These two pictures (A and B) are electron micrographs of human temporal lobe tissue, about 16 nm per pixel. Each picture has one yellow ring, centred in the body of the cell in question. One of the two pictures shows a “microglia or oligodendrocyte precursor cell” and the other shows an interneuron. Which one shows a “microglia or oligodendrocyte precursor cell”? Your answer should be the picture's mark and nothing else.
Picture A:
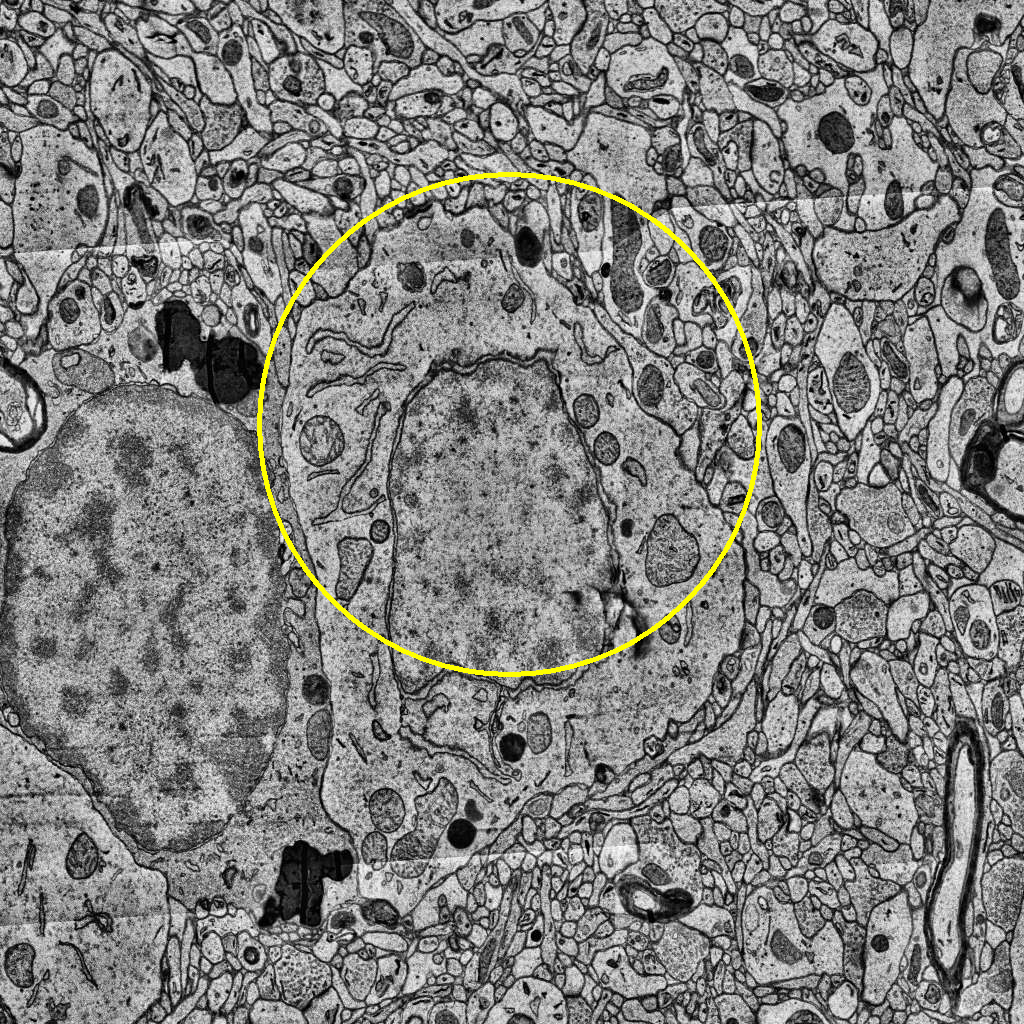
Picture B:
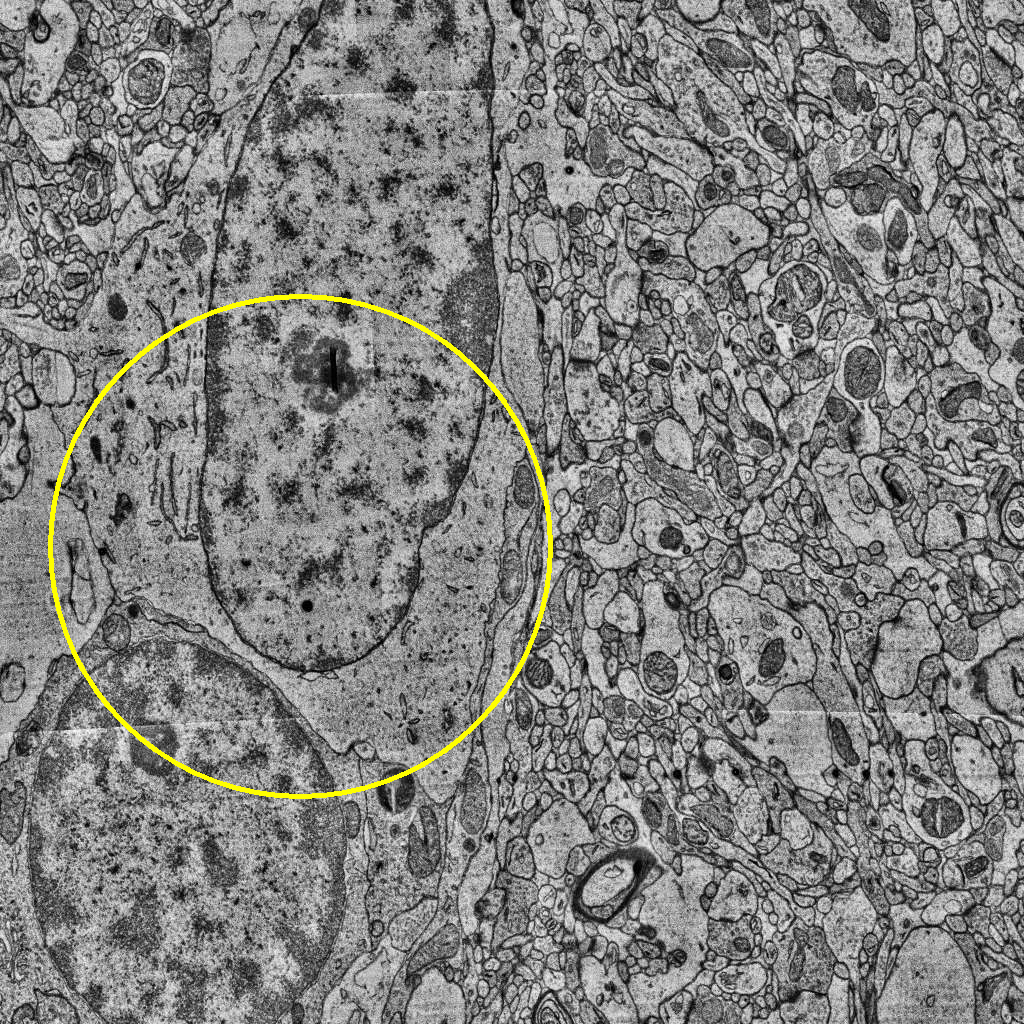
B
